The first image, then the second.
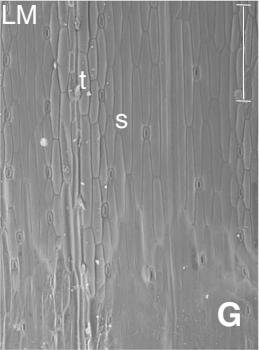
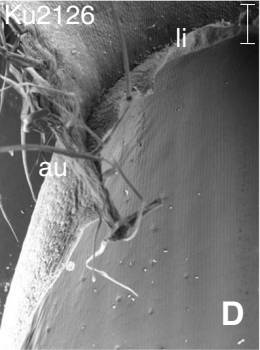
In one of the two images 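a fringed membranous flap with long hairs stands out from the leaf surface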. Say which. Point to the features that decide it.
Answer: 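The second image. First image: a flat epidermal surface of elongated cells and stomata with no projecting flap or long hairs. Second image: a thin membranous flap with a ragged edge at the top and a lobe bearing long hairs at the left.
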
